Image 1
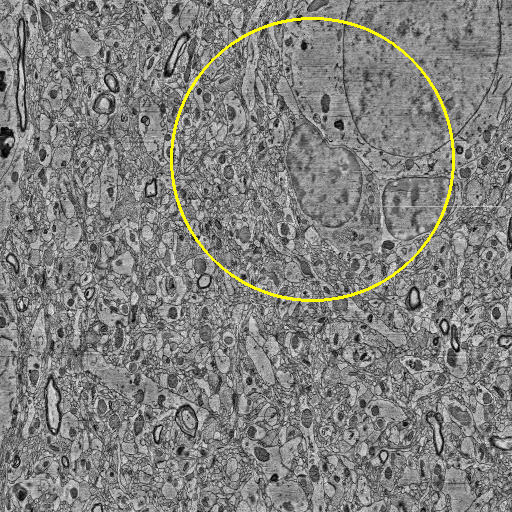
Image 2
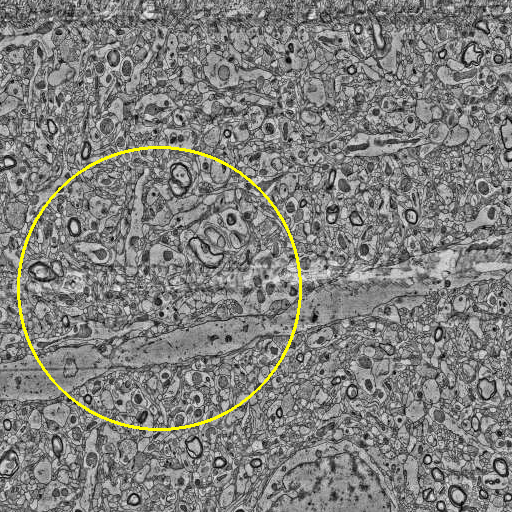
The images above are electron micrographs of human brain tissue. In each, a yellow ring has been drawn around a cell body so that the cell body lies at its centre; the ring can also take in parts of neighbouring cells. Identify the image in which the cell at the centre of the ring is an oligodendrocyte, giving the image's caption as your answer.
Image 1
